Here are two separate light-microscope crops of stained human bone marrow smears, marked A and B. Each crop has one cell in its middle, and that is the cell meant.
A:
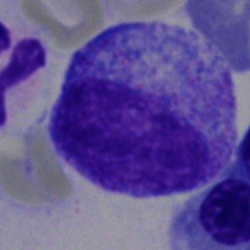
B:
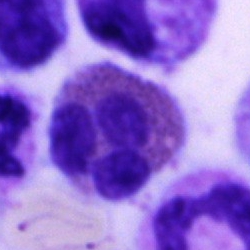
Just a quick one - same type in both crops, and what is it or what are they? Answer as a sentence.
No, crop A and crop B contain, respectively, a promyelocyte and an eosinophil.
